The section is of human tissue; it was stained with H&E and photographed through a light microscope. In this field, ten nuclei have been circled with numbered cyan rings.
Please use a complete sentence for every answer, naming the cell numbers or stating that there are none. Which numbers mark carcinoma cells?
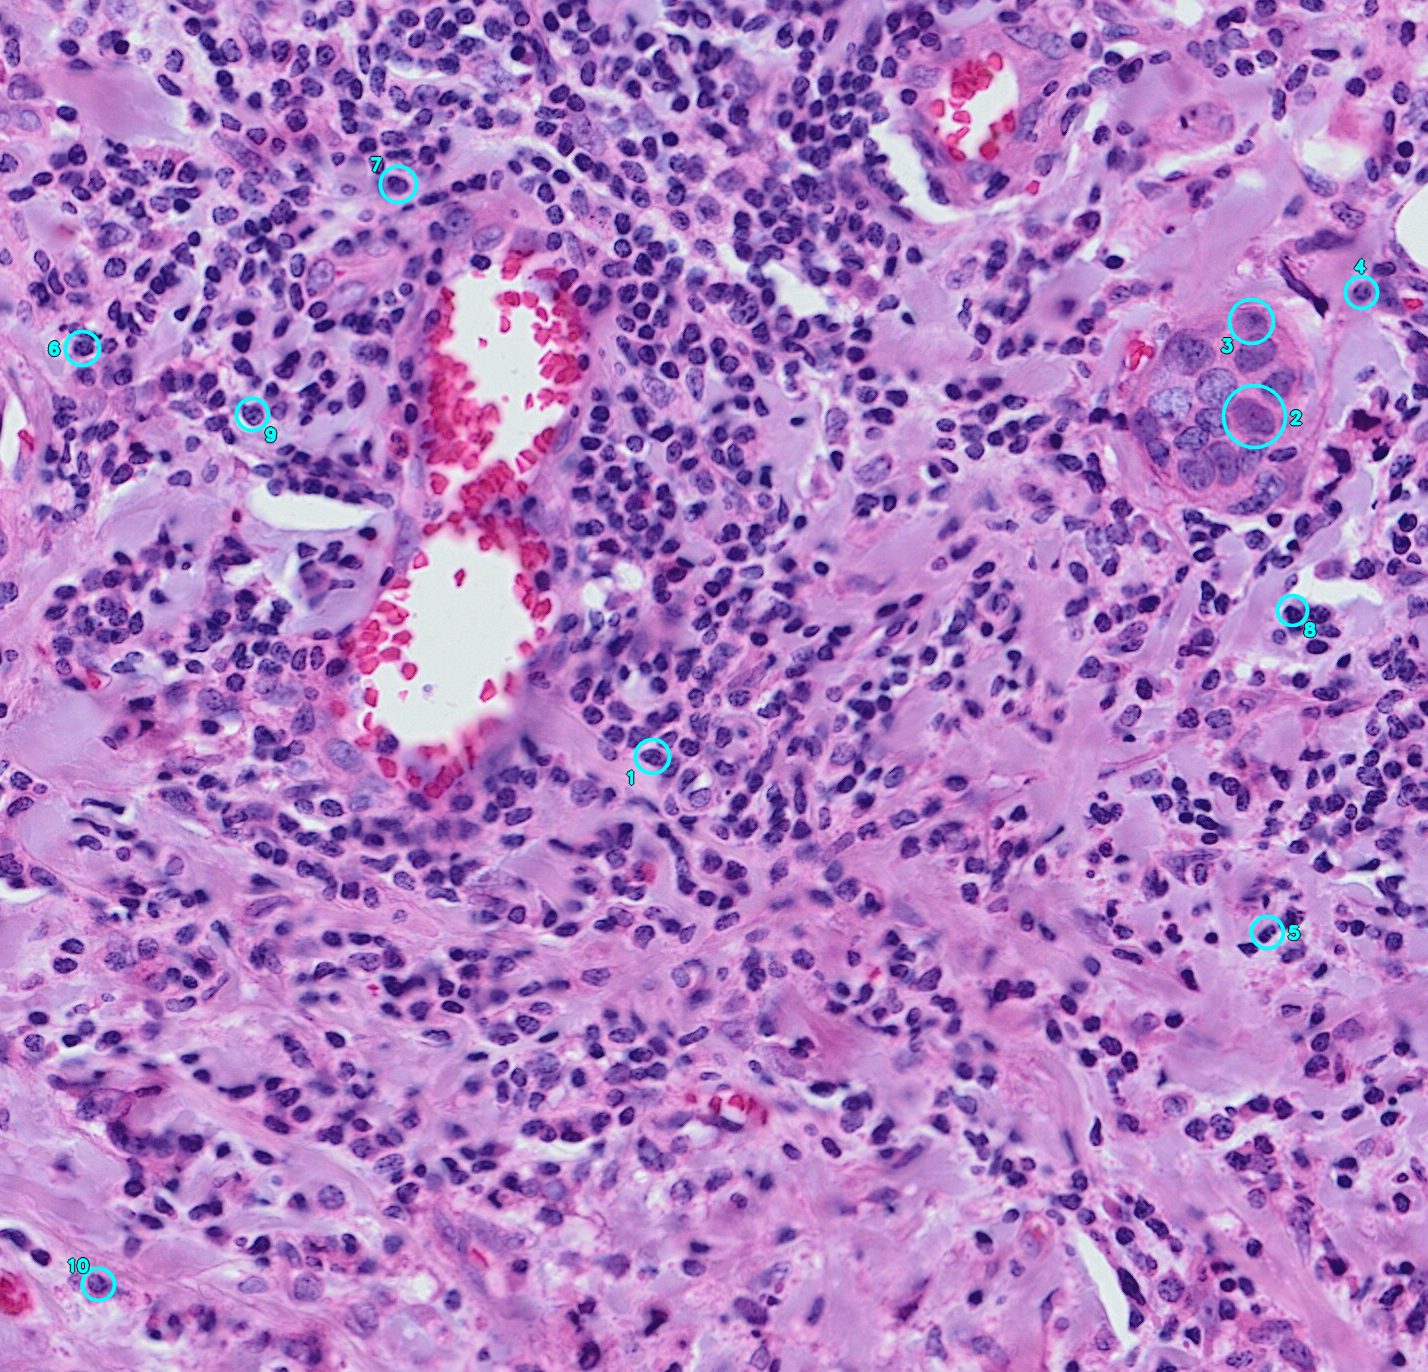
The cells carrying labels 2 and 3 are carcinoma cells.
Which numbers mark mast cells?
The cells labelled 4 and 10 in this section are mast cells.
